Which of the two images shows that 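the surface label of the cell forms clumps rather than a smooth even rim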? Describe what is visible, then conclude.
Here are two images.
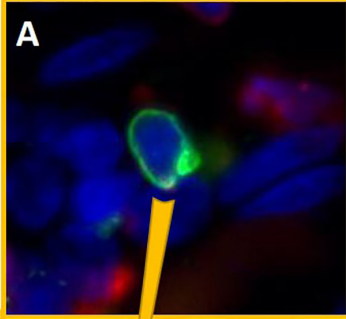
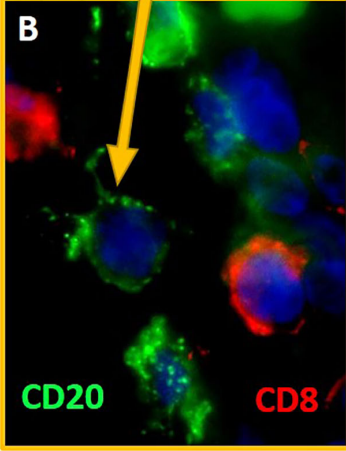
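The second image. Second image: the green rim of the marked cell is broken into dots and clusters. First image: the green rim of the cell is a smooth continuous line around the nucleus.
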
